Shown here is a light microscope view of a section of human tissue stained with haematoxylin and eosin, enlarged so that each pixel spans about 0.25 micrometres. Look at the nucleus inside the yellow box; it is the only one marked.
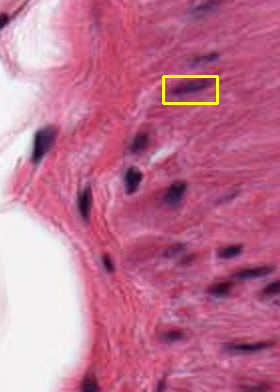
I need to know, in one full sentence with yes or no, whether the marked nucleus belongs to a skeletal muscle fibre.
No, the nucleus picked out by the marker does not belong to a skeletal muscle fibre.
